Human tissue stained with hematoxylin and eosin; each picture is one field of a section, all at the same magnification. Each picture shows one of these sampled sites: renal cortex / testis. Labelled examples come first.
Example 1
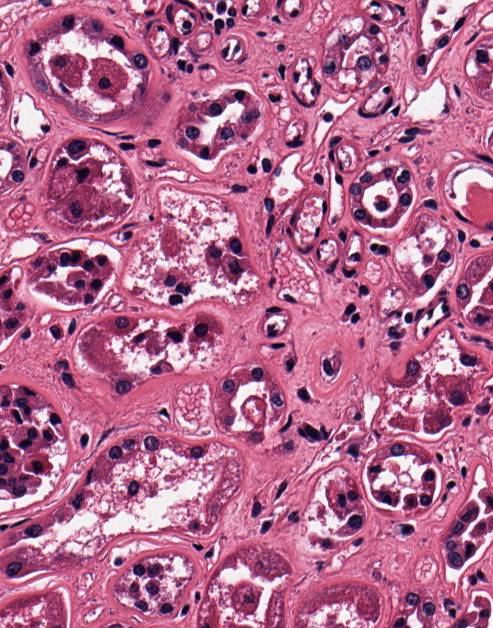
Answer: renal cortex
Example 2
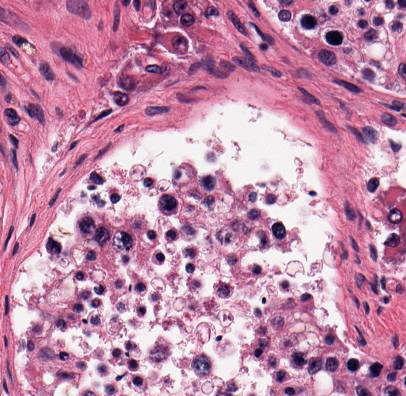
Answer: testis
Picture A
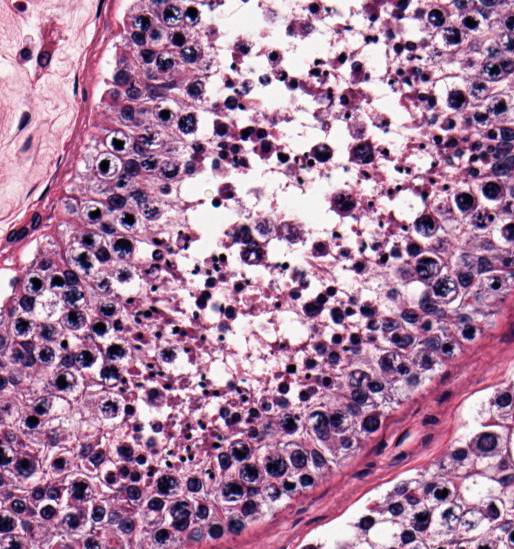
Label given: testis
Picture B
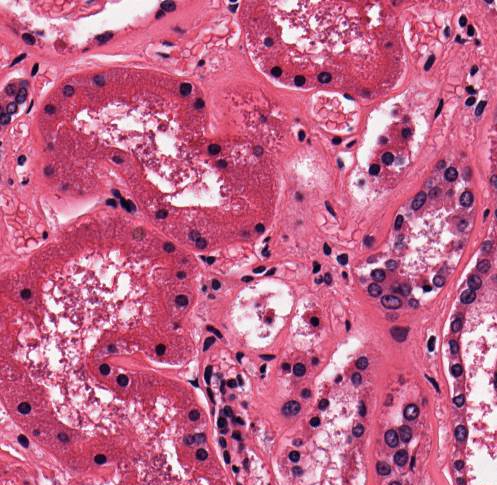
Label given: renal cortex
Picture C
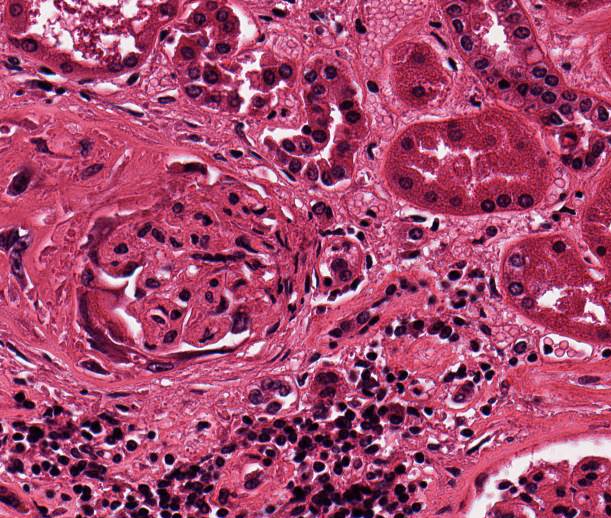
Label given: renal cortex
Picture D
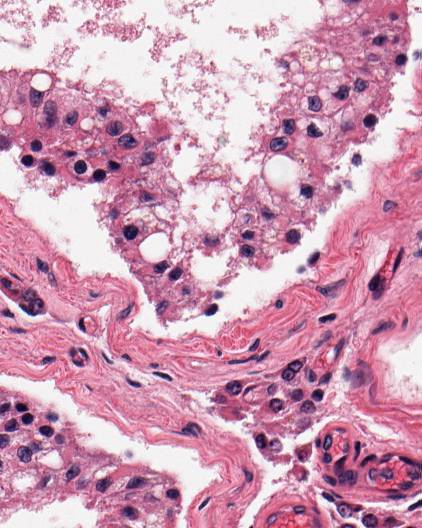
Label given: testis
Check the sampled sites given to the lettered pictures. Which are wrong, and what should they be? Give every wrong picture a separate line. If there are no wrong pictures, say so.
Every label is right.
